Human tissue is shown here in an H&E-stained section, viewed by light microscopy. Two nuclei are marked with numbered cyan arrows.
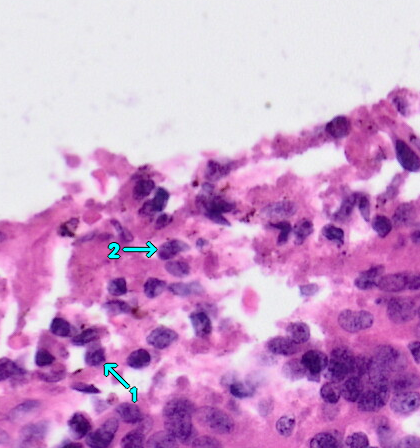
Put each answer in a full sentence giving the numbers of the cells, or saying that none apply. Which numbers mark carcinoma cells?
Only the cell numbered 1 is a carcinoma cell; none of the others is.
